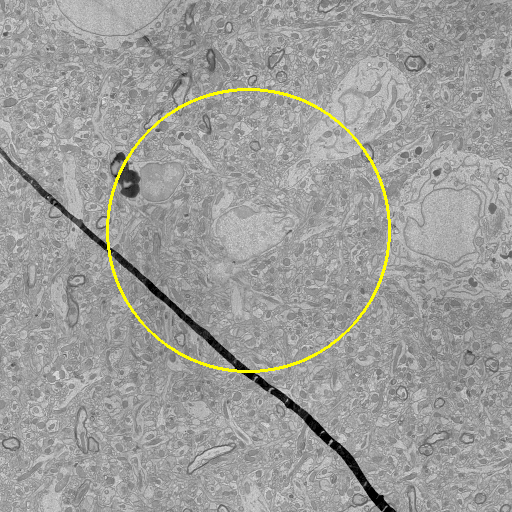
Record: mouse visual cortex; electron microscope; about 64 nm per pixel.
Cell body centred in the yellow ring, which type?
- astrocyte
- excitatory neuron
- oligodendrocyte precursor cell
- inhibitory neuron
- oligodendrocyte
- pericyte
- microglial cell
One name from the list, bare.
oligodendrocyte precursor cell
